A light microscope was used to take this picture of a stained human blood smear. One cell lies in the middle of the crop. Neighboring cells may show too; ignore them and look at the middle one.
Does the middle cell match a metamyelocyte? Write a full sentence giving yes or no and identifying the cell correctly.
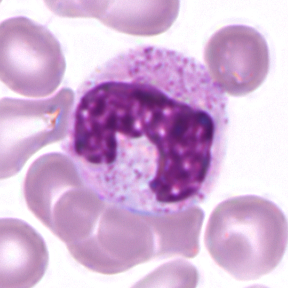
No, in the centre of the crop lies a band neutrophil, not a metamyelocyte.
